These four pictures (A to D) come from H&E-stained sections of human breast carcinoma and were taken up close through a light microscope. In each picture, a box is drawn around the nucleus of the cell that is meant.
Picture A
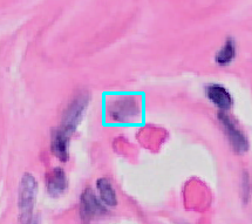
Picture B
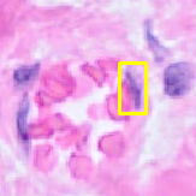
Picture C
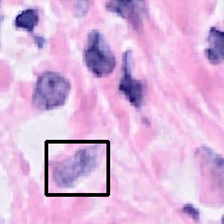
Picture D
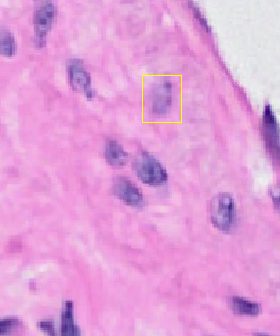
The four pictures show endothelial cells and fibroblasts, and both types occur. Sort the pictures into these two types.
A: endothelial cell
B: endothelial cell
C: fibroblast
D: endothelial cell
